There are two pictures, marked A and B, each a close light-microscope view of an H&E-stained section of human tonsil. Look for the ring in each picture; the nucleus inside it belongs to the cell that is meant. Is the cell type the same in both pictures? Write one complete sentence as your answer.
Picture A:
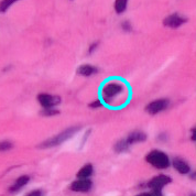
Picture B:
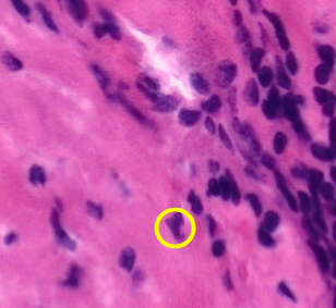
Yes, the two pictures both show mast cells.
